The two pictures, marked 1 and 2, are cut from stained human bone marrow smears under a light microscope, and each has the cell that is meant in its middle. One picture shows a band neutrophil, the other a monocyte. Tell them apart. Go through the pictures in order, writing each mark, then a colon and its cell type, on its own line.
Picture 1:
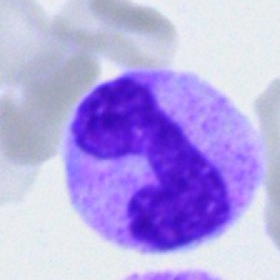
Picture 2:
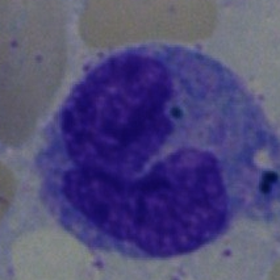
1: band neutrophil
2: monocyte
